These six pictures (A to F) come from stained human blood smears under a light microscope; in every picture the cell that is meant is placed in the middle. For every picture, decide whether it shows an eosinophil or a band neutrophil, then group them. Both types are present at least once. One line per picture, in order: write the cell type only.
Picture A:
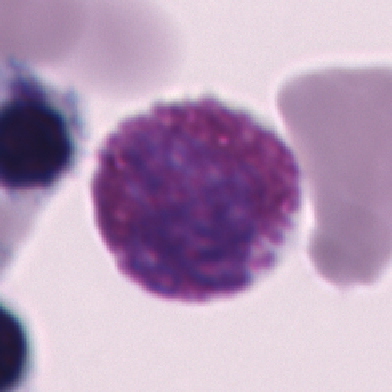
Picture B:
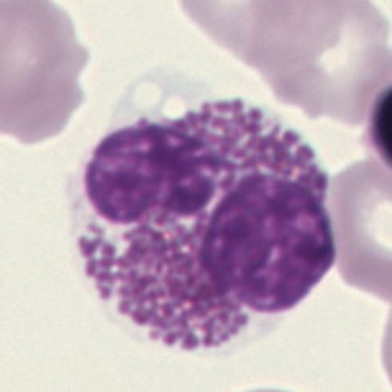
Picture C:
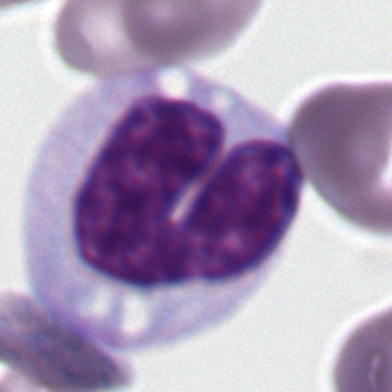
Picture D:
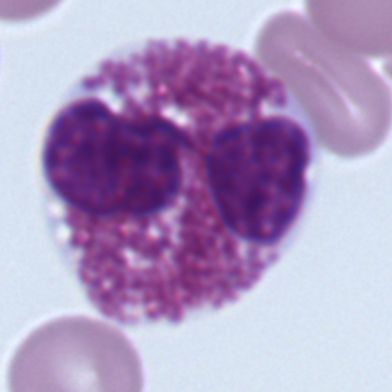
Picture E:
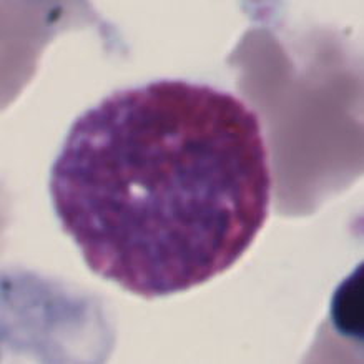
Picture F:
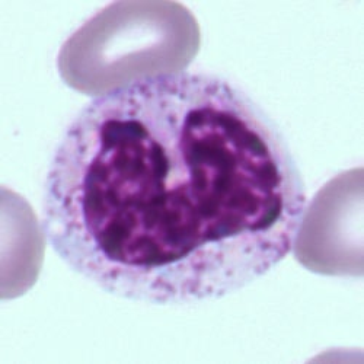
eosinophil
eosinophil
band neutrophil
eosinophil
eosinophil
band neutrophil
